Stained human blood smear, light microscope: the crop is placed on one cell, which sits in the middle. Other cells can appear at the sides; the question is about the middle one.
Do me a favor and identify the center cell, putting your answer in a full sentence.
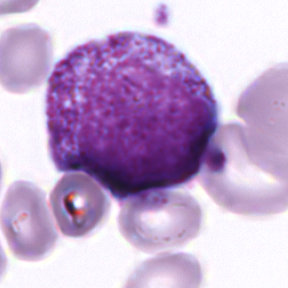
The centrally positioned cell in the crop represents a myelocyte.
